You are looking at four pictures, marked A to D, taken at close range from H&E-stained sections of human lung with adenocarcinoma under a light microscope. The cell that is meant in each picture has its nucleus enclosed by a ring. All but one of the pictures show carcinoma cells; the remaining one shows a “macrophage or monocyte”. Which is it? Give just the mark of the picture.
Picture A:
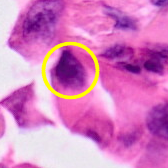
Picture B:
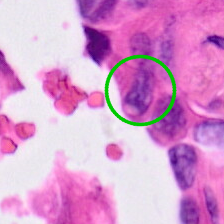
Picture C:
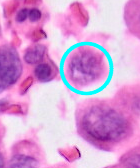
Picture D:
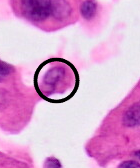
D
